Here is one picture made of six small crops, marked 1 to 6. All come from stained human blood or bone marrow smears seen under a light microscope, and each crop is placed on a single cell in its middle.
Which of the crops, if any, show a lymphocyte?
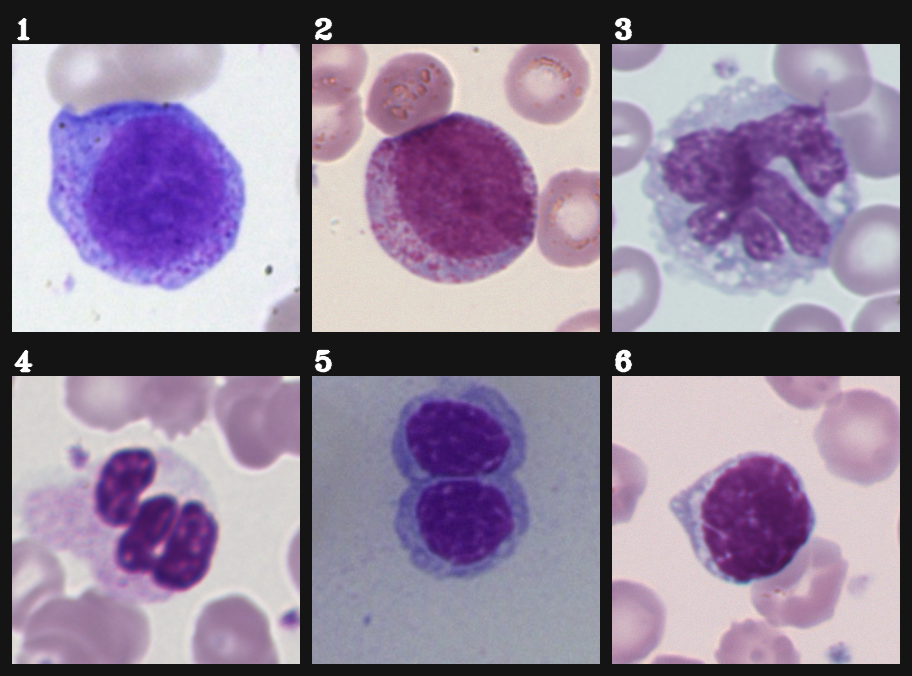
6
